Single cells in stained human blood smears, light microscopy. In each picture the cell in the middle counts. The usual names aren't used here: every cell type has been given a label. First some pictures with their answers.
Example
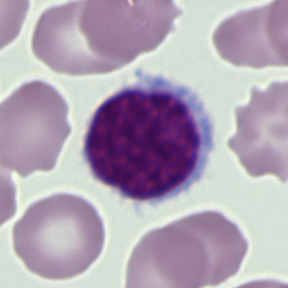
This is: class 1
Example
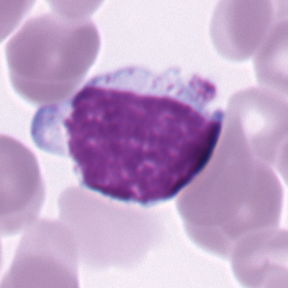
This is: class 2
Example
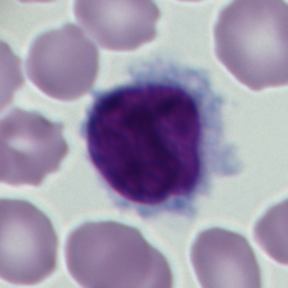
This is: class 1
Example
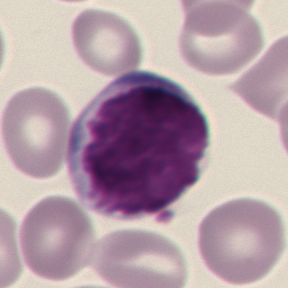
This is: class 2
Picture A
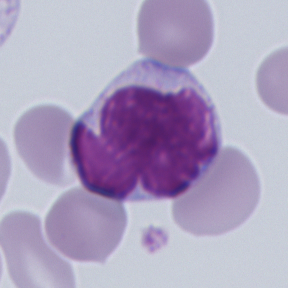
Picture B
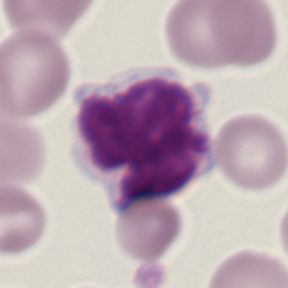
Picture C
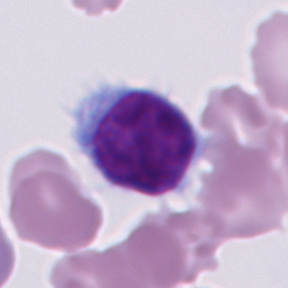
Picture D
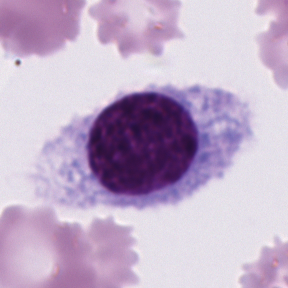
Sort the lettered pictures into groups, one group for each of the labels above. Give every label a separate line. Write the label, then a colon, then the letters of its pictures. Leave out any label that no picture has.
class 1: C, D
class 2: A, B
